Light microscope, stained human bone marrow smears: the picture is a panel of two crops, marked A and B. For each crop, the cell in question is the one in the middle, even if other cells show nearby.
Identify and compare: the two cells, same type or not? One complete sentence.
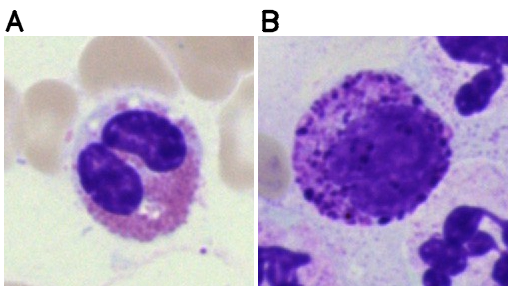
No, it is an eosinophil in crop A and a basophil in crop B.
